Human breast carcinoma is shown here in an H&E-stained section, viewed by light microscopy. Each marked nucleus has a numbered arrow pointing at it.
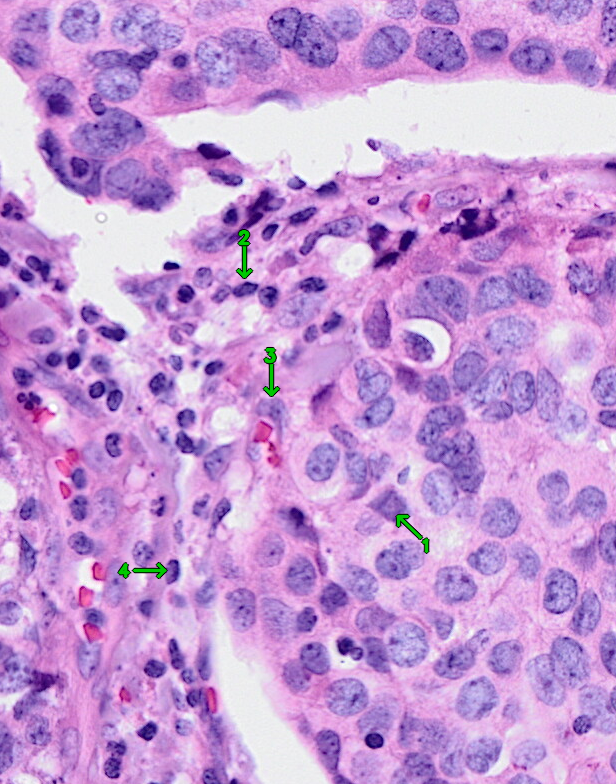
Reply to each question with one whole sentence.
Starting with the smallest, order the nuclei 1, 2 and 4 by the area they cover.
By area, going up from the smallest, they rank 4, 2, 1.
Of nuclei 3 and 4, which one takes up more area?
Nucleus 3 is the larger one, covering about 2 times the area of nucleus 4.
